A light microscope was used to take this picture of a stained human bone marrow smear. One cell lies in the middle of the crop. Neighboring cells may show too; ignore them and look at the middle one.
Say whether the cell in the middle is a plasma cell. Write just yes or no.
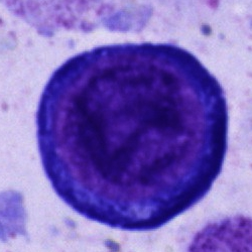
no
